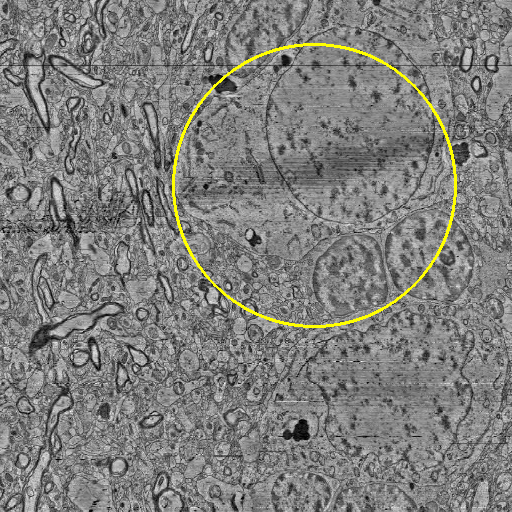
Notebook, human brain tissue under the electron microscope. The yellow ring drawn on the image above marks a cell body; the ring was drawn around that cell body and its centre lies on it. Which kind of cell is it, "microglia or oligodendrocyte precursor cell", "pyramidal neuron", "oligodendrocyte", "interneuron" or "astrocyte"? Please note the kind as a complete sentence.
The marked cell body is that of a pyramidal neuron.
